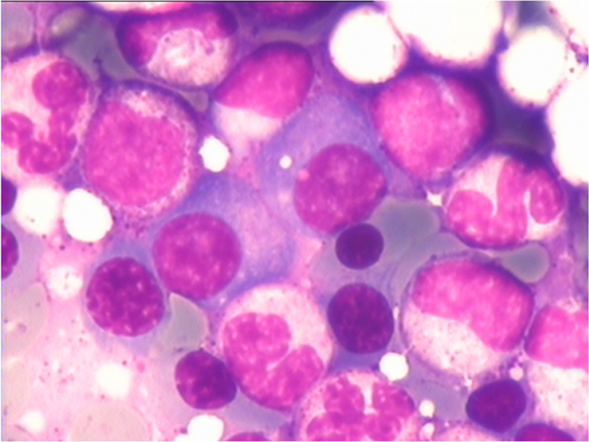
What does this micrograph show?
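Bone marrow with a mixed population of nucleated cells at high magnification. Several large cells have abundant pale pink cytoplasm with fine granules and kidney-shaped or indented nuclei, in keeping with maturing granulocytes. Some round cells have a blue-grey cytoplasm and a round eccentric nucleus with clumped chromatin, as in plasma cells. Small cells with dense dark round nuclei and scant cytoplasm are scattered among them. Clear round vacuoles and pale red cells lie in the background between the nucleated cells.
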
